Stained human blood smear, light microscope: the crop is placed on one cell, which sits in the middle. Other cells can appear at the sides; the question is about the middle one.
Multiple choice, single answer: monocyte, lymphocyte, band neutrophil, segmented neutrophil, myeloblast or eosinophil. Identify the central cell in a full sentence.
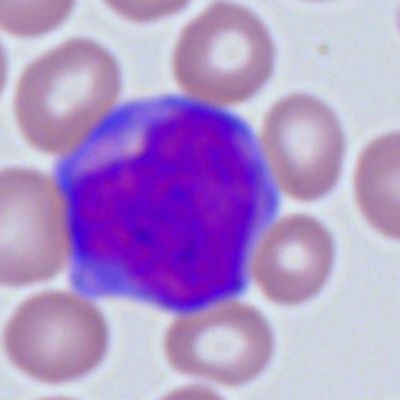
Centrally within this crop lies a myeloblast.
